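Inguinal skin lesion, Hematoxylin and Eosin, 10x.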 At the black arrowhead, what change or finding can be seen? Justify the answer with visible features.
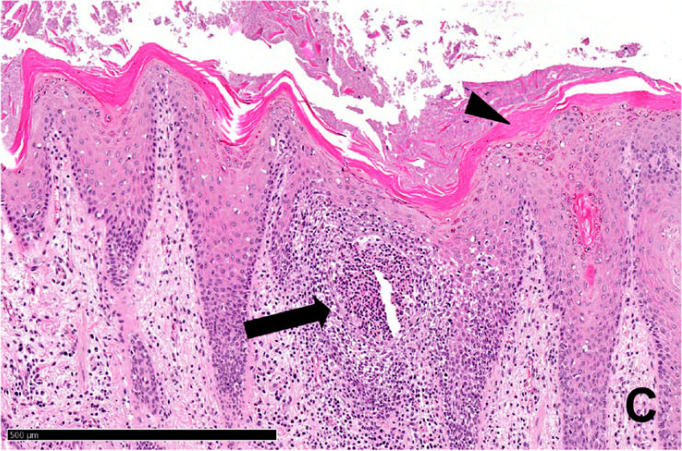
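A thick, compact, bright pink layer of keratin covers the epidermis. The keratin layer shows no retained nuclei. The epidermis below is thickened with long rete ridges.
Hence: orthokeratotic hyperkeratosis.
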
